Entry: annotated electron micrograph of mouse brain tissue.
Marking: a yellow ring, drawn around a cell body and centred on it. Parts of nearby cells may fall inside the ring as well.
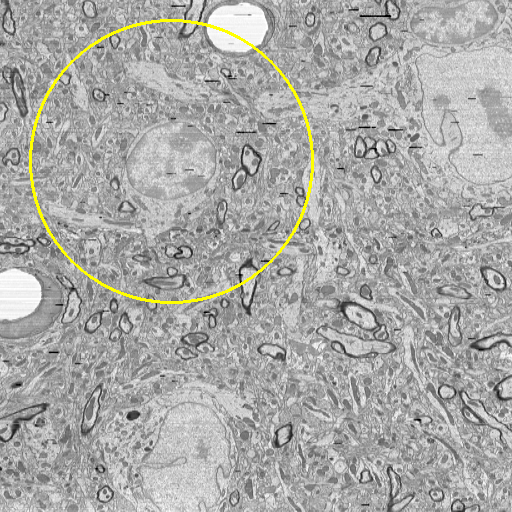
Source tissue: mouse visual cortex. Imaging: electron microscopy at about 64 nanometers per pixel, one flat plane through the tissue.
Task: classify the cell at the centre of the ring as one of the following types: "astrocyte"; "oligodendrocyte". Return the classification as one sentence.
The marked cell is classified as an oligodendrocyte.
